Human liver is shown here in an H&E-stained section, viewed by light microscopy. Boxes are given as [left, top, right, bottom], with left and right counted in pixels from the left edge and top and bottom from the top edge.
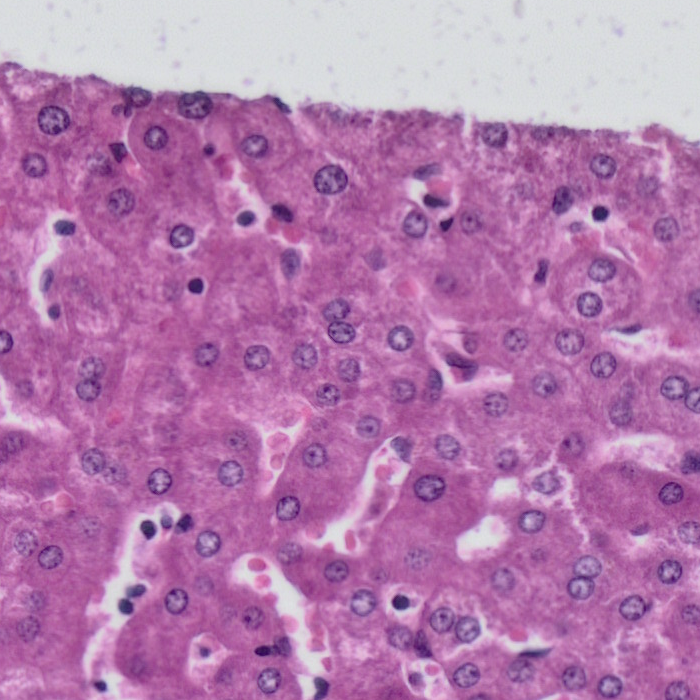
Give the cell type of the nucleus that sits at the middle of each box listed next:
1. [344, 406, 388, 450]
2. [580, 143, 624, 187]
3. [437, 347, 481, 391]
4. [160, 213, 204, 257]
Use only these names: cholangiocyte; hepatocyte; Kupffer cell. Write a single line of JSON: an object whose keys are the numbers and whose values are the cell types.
{"1": "hepatocyte", "2": "hepatocyte", "3": "Kupffer cell", "4": "hepatocyte"}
